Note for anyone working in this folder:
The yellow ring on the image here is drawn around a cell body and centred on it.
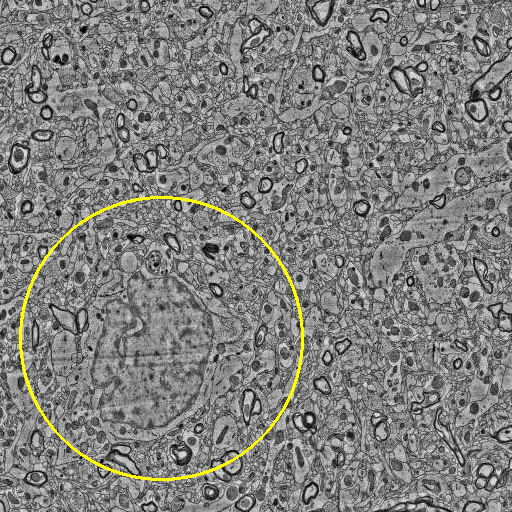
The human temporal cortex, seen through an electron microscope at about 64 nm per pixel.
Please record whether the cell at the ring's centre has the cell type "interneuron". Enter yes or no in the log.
yes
